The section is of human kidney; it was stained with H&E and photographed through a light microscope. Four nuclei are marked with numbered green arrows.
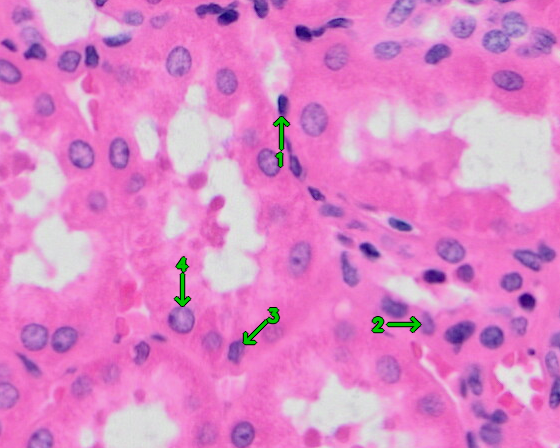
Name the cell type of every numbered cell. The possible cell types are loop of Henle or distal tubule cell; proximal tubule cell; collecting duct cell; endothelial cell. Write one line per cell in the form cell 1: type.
cell 1: endothelial cell
cell 2: collecting duct cell
cell 3: proximal tubule cell
cell 4: proximal tubule cell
